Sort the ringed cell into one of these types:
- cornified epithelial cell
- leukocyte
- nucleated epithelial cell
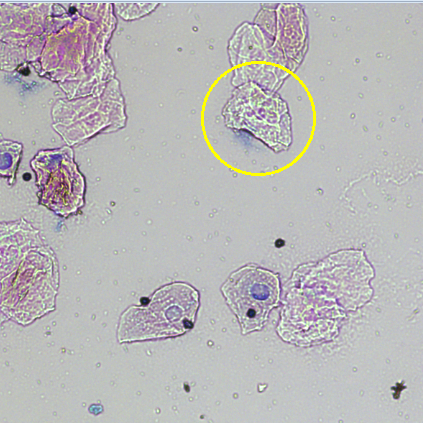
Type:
cornified epithelial cell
